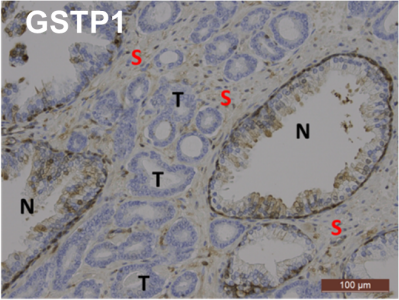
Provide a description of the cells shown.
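This is prostate tissue with large normal glands and many small tumor glands set in stroma. The large gland in the centre has a thin continuous brown rim at its outer edge, where the basal cell layer lies, and some brown in its lining. The small tumor glands nearby have blue nuclei and no brown lining. Faint brown also runs through the stroma between the glands.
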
